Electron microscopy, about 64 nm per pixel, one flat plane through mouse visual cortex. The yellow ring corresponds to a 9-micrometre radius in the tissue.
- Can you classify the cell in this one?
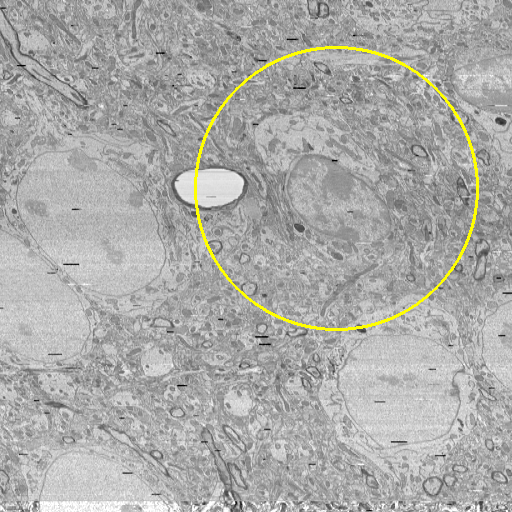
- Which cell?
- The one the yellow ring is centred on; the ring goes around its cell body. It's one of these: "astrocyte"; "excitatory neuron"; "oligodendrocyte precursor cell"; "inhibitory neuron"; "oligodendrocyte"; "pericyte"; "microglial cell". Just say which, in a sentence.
The cell body in the ring belongs to an oligodendrocyte.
